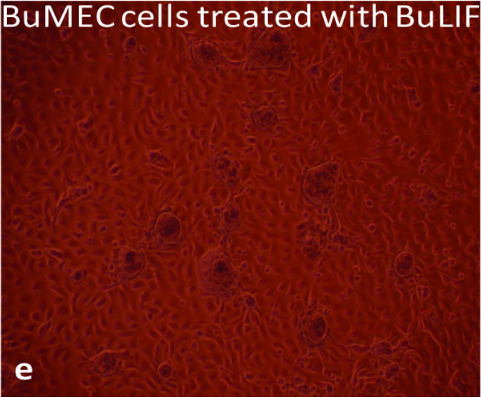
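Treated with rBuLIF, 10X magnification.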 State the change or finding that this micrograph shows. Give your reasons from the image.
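Scattered rounded, dark, multilayered clusters of cells sit on top of the flat monolayer. The clusters are ringed by bright outlines. So: globule structures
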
